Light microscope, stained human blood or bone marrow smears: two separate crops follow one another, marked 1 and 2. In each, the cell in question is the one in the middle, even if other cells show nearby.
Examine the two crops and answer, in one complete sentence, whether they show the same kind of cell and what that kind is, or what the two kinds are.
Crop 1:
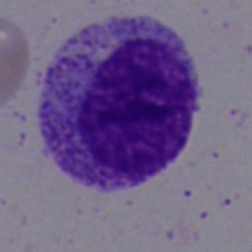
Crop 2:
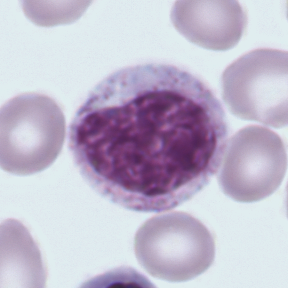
No, a myelocyte occupies the middle of crop 1, and a metamyelocyte the middle of crop 2.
